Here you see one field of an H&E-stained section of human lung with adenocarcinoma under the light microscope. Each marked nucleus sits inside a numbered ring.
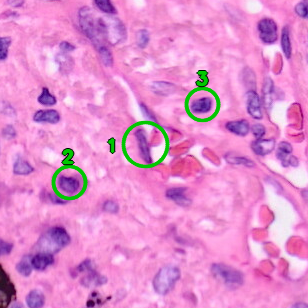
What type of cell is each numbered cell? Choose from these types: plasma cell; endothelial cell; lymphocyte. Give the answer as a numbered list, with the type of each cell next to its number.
1. endothelial cell
2. plasma cell
3. lymphocyte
